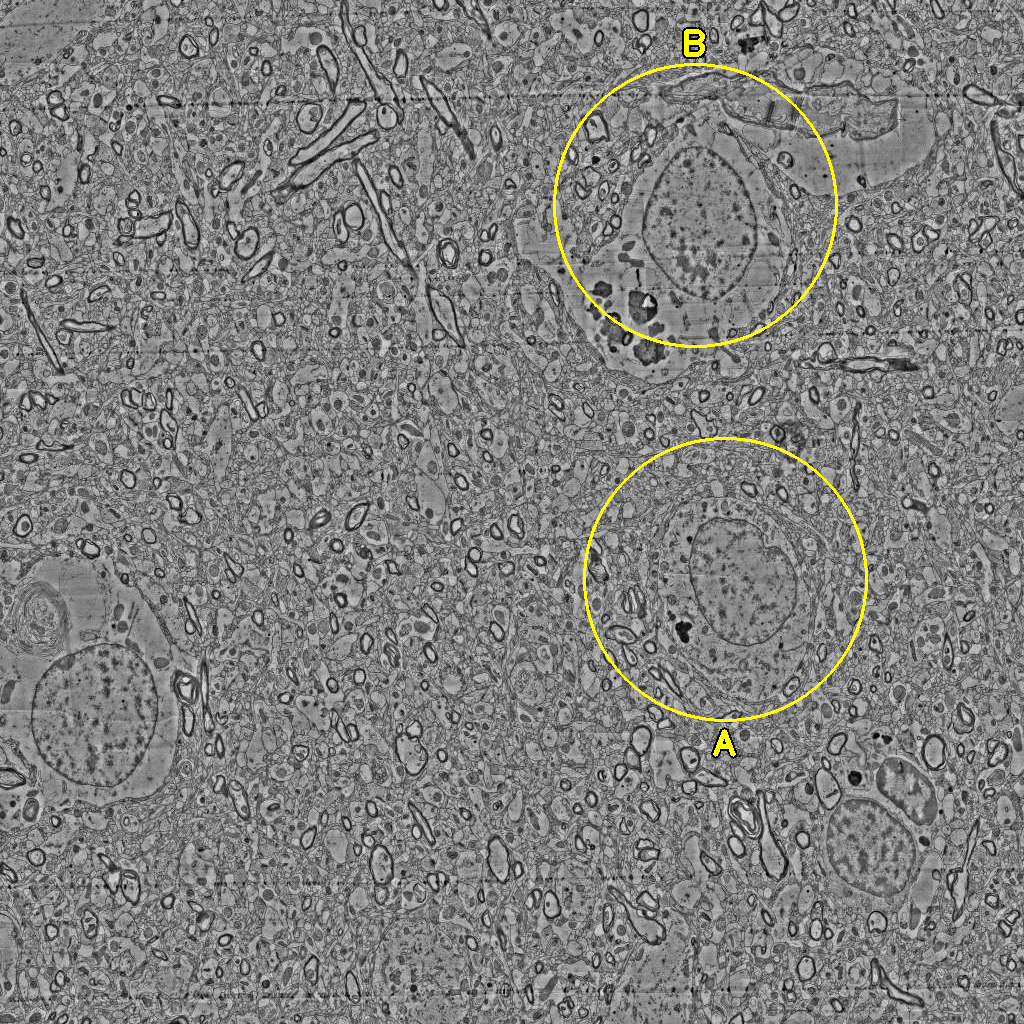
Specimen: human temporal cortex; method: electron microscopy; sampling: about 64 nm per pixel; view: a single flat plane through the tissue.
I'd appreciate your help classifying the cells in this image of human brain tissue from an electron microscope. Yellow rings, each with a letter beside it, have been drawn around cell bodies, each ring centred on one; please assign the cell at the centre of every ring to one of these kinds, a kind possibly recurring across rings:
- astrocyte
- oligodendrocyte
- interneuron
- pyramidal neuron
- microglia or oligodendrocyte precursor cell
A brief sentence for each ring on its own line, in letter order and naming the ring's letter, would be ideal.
In ring A, the central cell is a pyramidal neuron.
In ring B, the central cell is an astrocyte.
